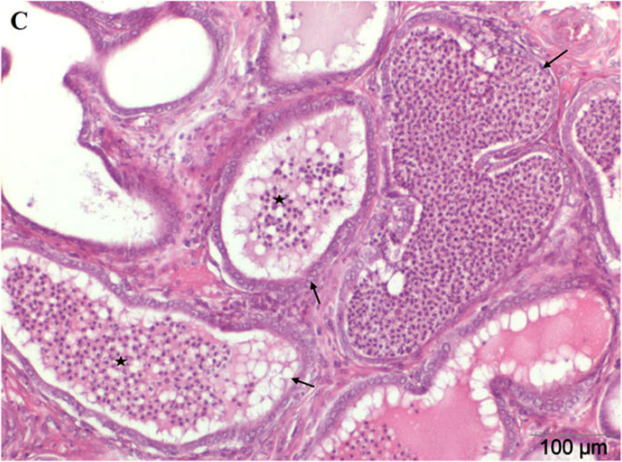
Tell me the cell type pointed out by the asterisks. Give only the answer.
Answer: Neutrophils.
